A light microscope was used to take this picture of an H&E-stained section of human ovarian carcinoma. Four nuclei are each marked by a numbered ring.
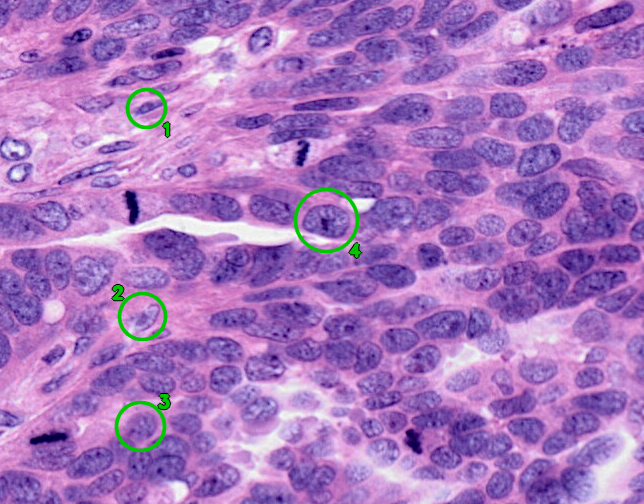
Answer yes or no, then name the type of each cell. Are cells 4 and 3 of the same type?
Yes, both of the cells numbered 4 and 3 are carcinoma cells.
